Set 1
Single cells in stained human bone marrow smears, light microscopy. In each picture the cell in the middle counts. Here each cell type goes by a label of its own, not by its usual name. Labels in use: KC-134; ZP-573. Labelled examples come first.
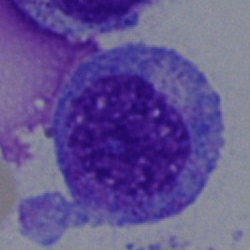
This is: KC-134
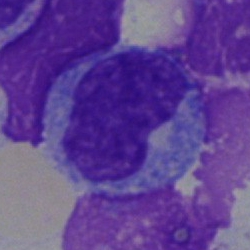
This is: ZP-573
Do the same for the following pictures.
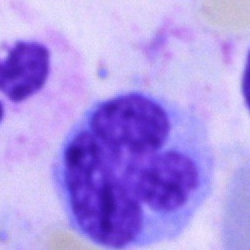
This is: ZP-573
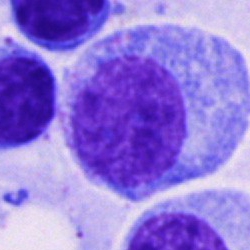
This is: KC-134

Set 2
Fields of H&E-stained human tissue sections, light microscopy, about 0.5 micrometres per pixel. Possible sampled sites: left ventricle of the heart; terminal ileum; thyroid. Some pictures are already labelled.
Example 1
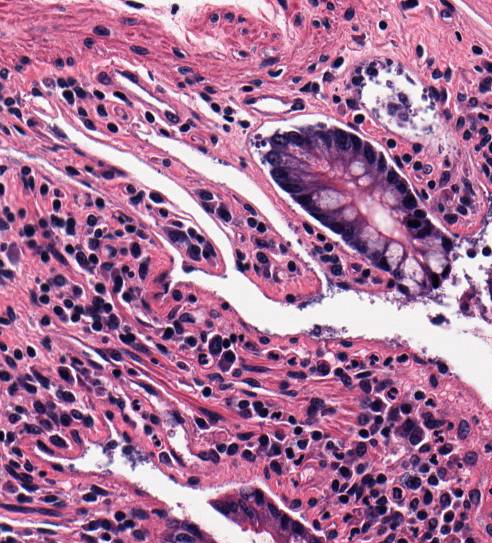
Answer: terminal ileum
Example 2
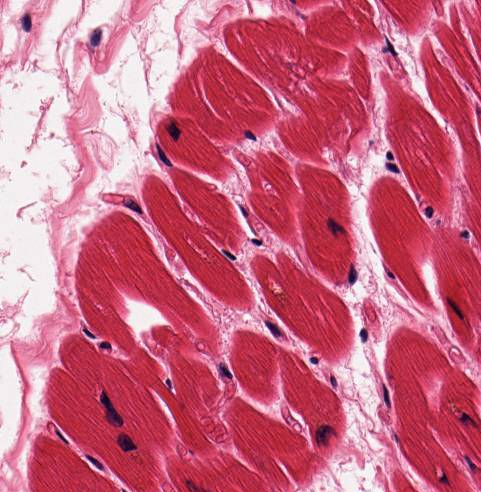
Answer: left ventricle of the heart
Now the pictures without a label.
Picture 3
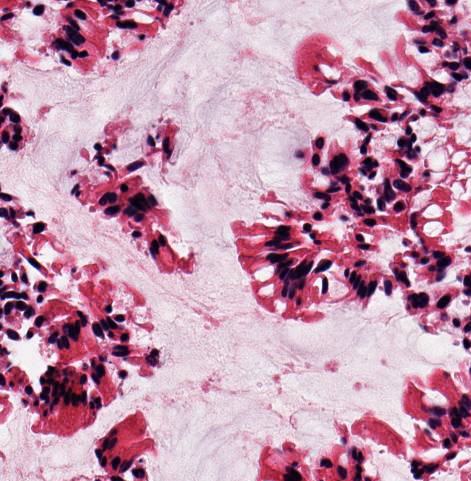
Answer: terminal ileum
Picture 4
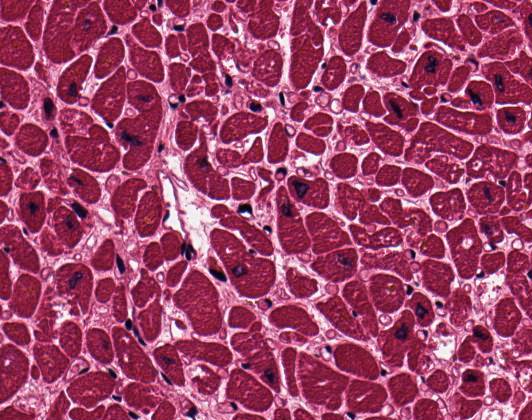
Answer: left ventricle of the heart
